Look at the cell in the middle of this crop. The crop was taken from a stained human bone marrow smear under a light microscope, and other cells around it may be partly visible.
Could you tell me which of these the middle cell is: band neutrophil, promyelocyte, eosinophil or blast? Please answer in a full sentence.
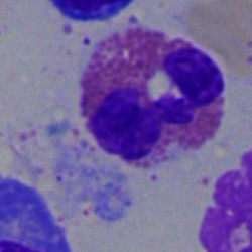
The cell under consideration, at the middle of the crop, is an eosinophil.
